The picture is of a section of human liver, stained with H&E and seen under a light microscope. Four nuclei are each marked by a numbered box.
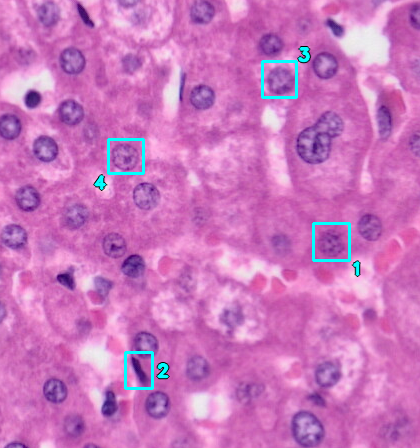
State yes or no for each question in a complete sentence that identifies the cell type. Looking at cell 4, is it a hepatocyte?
Yes, the cell whose number is 4 is a hepatocyte.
